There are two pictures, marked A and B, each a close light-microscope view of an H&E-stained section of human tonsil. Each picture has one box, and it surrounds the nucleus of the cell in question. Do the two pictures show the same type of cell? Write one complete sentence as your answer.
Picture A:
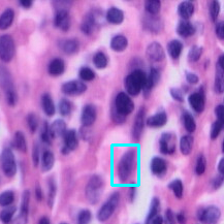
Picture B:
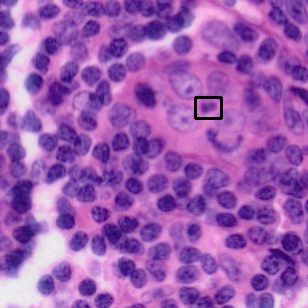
Yes; the cells in both pictures are endothelial cells.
